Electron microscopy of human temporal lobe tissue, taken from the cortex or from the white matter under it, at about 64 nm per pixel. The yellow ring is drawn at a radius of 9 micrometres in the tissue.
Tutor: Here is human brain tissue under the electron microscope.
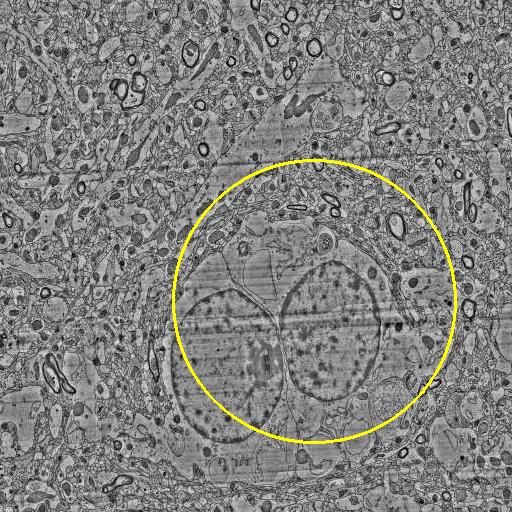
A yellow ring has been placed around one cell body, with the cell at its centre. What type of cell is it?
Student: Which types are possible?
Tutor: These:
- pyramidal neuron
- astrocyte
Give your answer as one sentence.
What the ring picks out here is an astrocyte.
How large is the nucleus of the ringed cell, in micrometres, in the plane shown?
In this plane, the nucleus of the cell at the centre of the ring measures about 9 by 6 micrometres.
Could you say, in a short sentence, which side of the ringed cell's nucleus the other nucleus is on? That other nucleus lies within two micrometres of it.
The other nucleus is located to the left of it.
